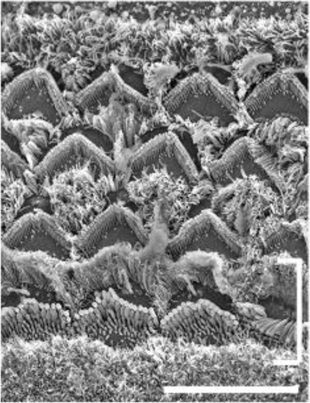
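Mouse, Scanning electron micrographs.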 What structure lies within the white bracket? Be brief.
inner hair cell row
